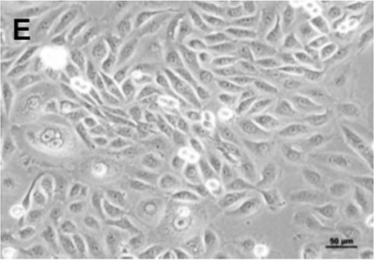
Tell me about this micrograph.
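This is a monolayer of cultured adherent cells seen by phase contrast, with a few gaps between groups of cells. The cells are mostly polygonal or elongated, each with an oval nucleus and pale, finely granular cytoplasm. A few cells are larger and more flattened than their neighbours. Small, round, bright-haloed cells lie scattered over the layer.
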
